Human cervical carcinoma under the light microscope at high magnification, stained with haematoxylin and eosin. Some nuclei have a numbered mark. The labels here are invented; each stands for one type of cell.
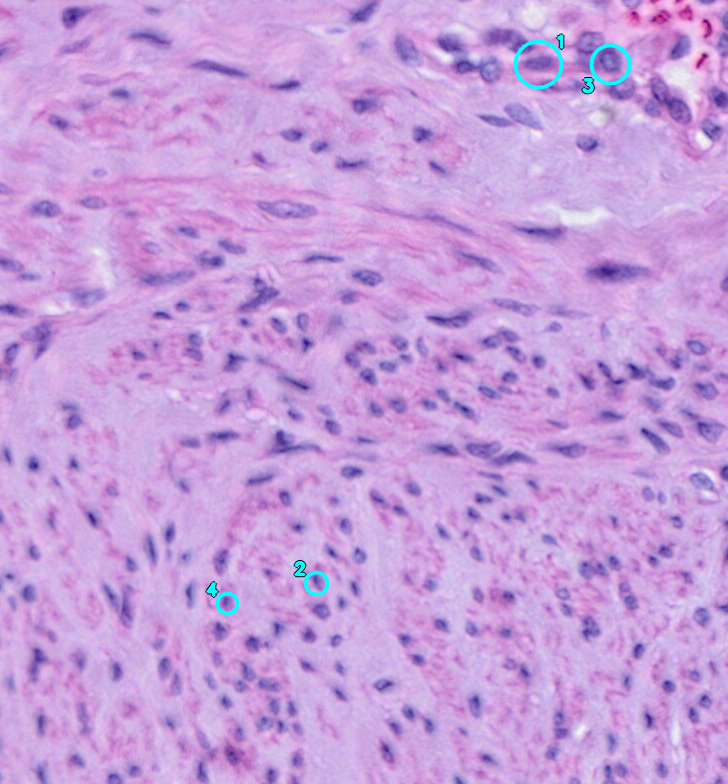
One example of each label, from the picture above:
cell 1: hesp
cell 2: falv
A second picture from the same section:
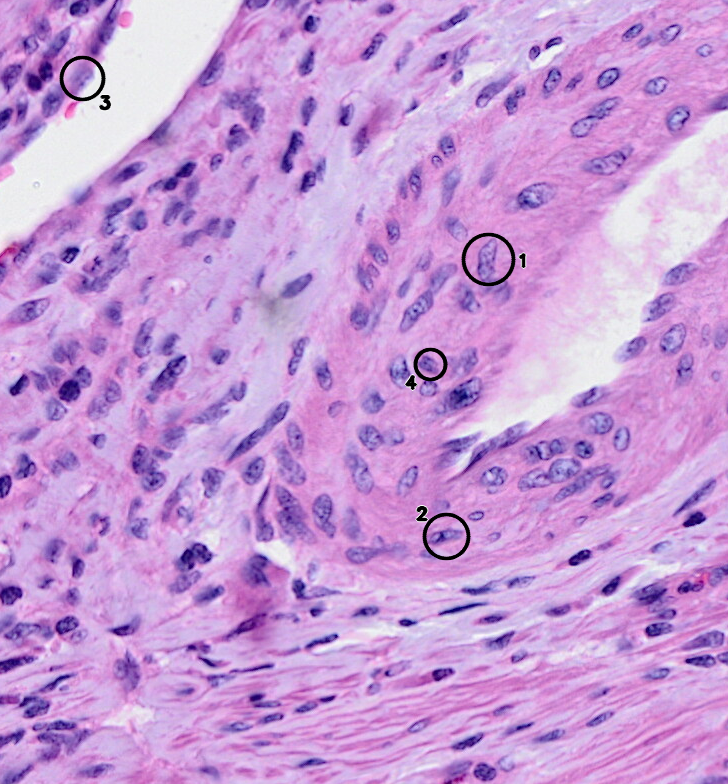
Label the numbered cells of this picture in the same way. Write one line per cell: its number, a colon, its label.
1: falv
2: falv
3: hesp
4: falv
